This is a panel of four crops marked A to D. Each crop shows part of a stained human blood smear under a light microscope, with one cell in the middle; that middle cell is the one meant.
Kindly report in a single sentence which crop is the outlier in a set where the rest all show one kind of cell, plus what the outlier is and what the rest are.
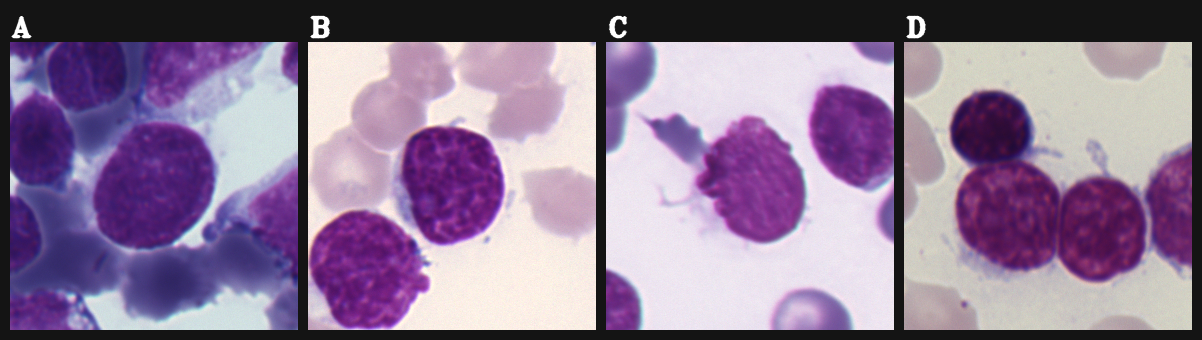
Crop C presents a smudge cell, while myeloblasts are presented by all other crops.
